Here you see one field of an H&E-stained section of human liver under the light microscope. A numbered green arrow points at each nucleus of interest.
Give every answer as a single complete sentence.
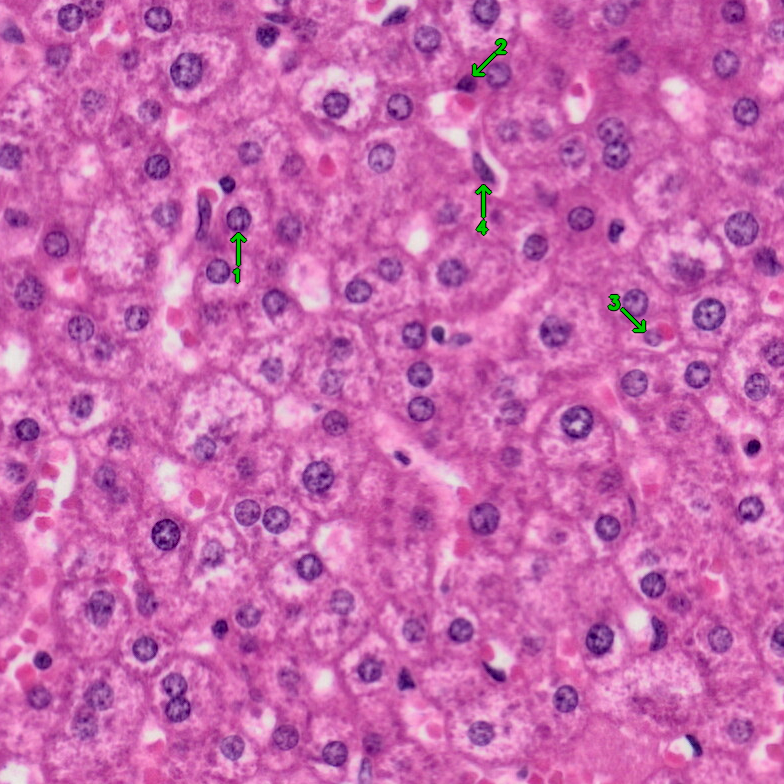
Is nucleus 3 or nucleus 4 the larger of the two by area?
Number 4 is larger; its area is about 2 times that of number 3.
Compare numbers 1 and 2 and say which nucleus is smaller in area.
With nucleus 1 about 2 times its size, nucleus 2 is the smaller of the two.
